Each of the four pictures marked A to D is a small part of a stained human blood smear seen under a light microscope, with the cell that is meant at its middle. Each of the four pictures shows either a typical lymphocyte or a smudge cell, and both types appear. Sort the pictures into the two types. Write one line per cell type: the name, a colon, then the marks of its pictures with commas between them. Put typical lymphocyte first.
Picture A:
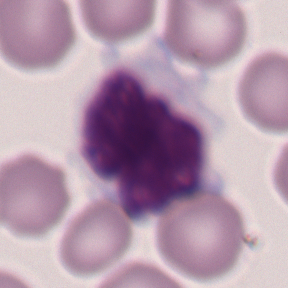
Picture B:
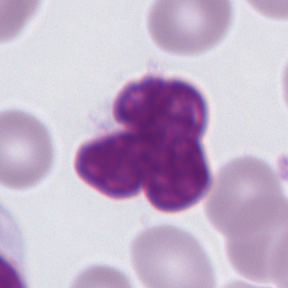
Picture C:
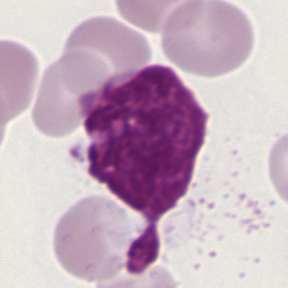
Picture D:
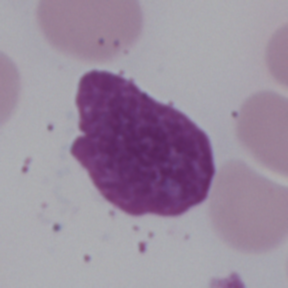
typical lymphocyte: A
smudge cell: B, C, D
